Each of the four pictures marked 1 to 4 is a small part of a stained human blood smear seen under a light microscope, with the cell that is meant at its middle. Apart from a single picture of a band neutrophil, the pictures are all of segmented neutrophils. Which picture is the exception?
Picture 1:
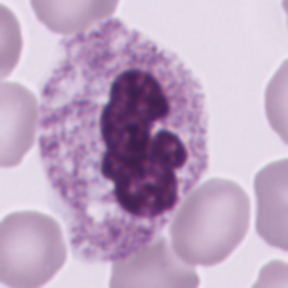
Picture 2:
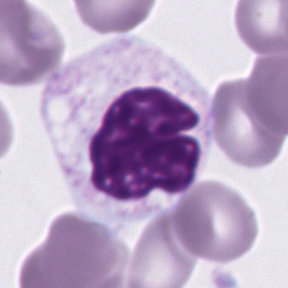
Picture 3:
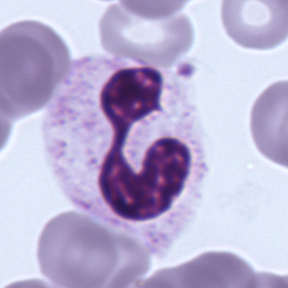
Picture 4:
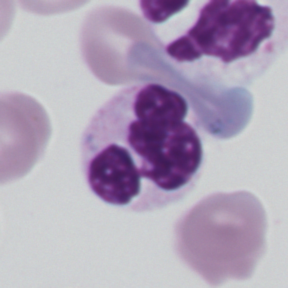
2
